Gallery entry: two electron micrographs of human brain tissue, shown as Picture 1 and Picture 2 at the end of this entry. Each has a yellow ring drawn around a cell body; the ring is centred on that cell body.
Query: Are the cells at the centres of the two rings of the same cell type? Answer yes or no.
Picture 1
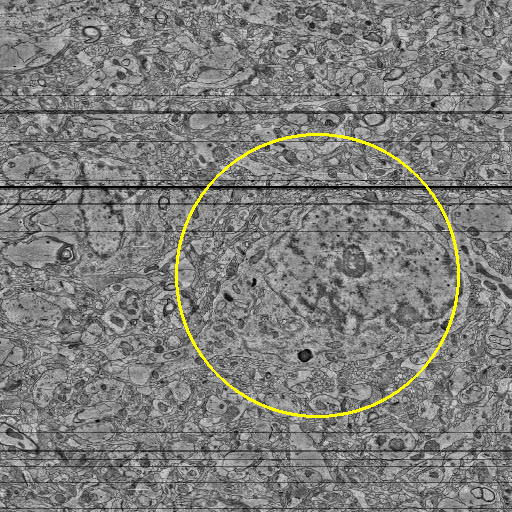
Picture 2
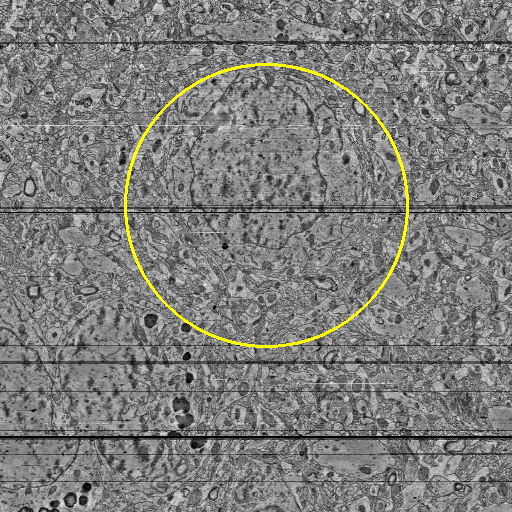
no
